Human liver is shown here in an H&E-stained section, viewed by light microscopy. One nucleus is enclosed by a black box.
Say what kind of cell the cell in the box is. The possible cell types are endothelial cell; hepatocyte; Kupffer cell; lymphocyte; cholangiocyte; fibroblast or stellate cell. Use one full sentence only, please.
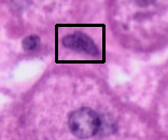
On this particular slide, the cell in the box is a Kupffer cell.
